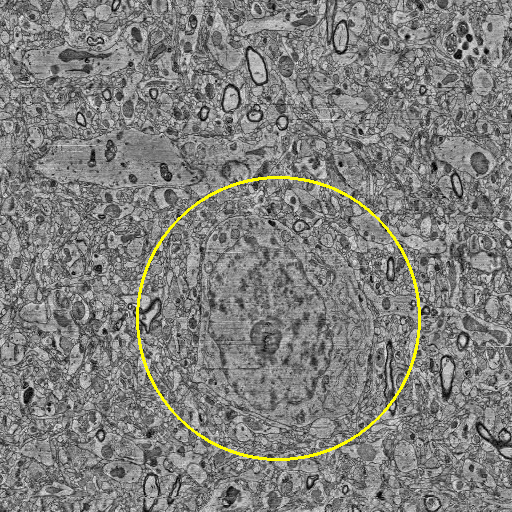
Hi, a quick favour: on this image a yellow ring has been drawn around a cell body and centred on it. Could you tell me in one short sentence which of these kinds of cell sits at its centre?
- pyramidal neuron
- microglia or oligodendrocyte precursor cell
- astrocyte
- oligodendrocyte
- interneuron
The ring is centred on an interneuron.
